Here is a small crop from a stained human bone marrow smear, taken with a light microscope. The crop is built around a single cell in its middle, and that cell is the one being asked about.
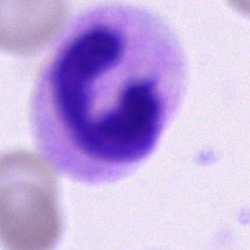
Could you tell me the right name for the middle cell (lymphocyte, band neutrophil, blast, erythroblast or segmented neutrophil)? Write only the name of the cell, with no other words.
band neutrophil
